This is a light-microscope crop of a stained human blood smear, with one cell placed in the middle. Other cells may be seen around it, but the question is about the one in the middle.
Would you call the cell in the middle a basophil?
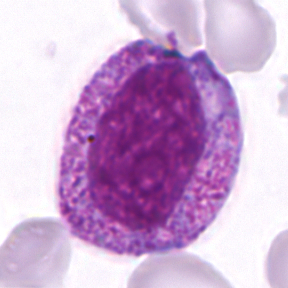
no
